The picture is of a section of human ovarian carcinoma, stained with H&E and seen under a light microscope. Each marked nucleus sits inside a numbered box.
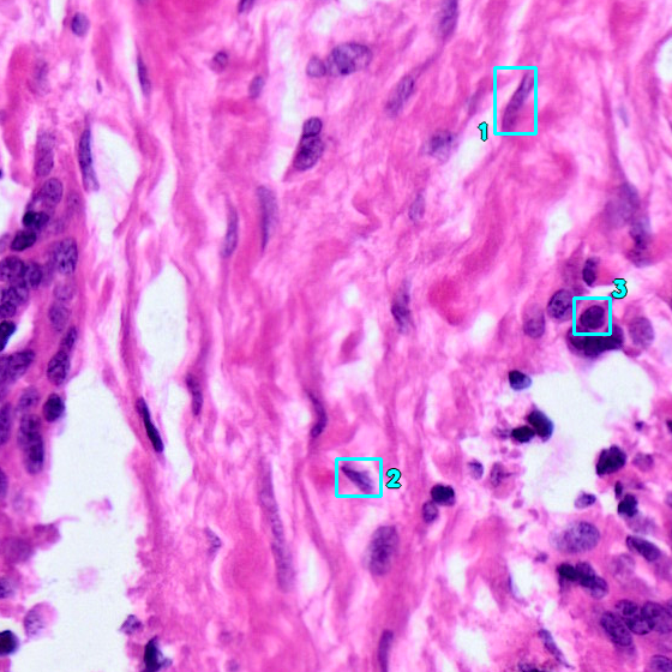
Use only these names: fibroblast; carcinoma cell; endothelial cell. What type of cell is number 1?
fibroblast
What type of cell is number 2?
fibroblast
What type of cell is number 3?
carcinoma cell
